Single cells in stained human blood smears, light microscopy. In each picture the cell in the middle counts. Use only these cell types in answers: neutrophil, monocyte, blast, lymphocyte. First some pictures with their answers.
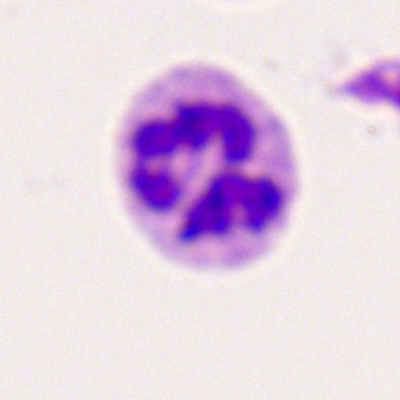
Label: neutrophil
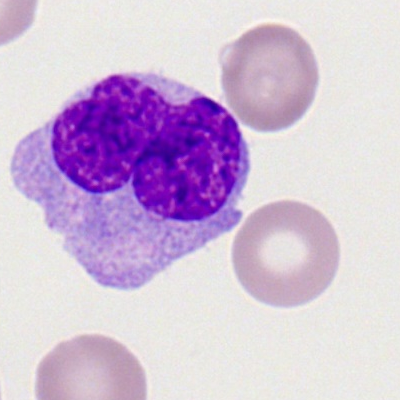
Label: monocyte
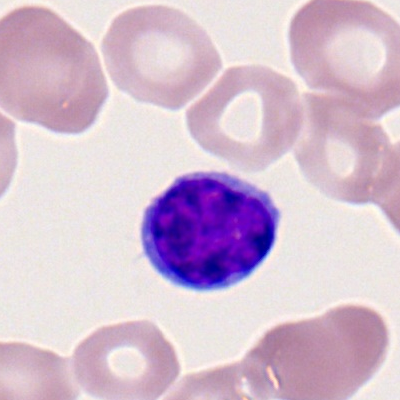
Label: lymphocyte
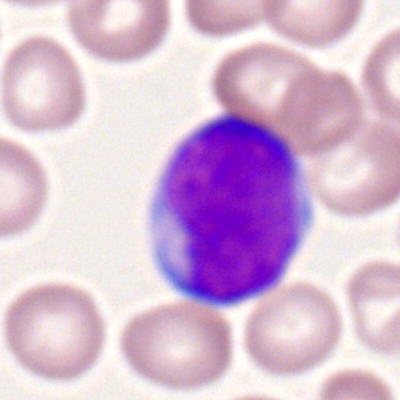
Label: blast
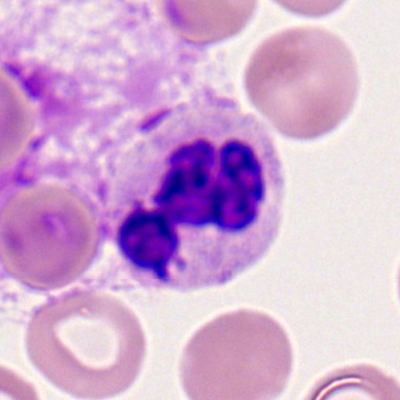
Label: neutrophil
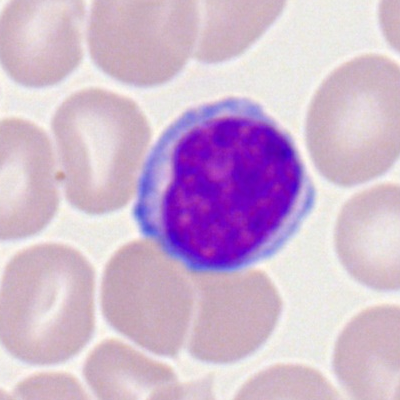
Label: lymphocyte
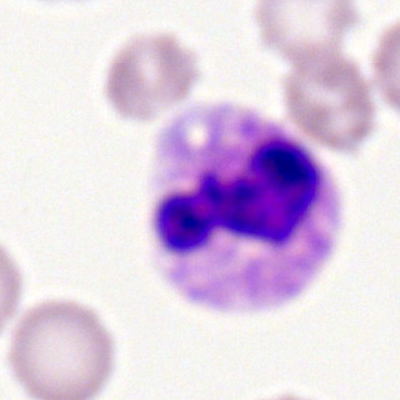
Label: neutrophil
